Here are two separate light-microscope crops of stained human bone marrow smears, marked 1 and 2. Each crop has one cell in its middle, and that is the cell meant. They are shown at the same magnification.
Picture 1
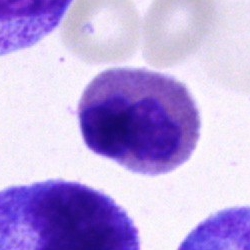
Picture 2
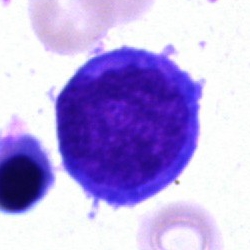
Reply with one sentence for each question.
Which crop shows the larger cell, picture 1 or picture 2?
It is the cell in picture 2, about 2 times as large in area as the cell in picture 1.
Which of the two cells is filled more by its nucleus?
It is the cell in picture 2 that is filled more by its nucleus.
